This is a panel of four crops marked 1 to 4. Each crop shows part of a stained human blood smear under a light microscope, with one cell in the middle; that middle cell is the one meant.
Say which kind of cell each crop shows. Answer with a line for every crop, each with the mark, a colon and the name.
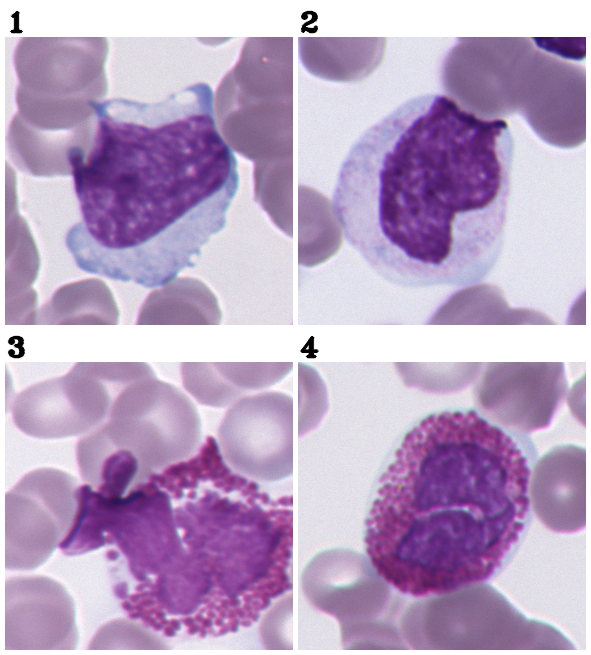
1: blast
2: metamyelocyte
3: eosinophil
4: eosinophil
